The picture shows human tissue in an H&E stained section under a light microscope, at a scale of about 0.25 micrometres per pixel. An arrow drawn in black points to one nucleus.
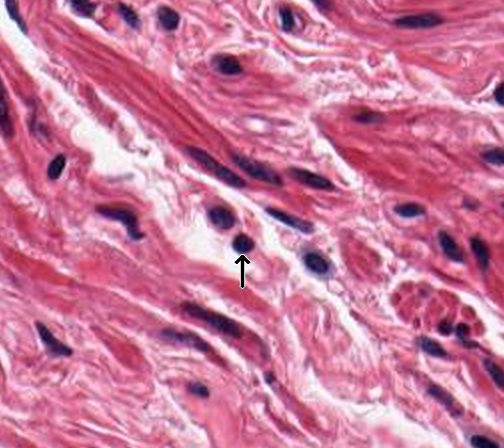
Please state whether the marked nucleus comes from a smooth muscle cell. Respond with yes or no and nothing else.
no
